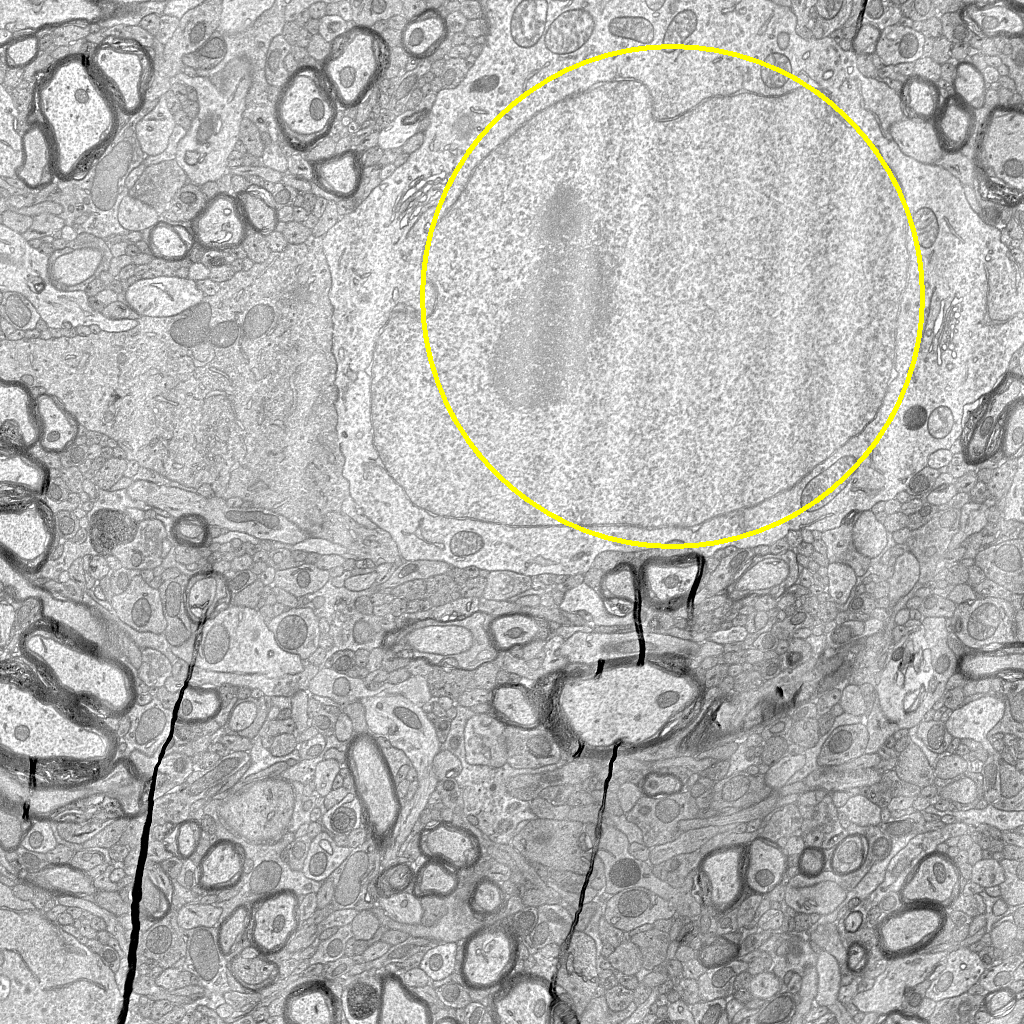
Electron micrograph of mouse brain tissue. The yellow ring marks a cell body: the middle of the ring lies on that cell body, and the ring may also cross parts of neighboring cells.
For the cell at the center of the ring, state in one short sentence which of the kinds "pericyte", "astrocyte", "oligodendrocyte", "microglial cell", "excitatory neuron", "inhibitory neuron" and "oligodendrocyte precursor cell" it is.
This ring's center lies on an excitatory neuron.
